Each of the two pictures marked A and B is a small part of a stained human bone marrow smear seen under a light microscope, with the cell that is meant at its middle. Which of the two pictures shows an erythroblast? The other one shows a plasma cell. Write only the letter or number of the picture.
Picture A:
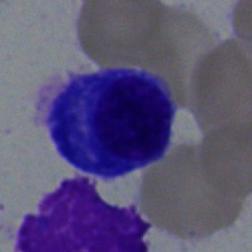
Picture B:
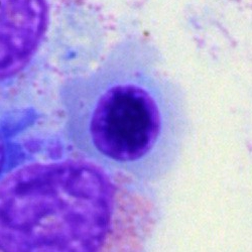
B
